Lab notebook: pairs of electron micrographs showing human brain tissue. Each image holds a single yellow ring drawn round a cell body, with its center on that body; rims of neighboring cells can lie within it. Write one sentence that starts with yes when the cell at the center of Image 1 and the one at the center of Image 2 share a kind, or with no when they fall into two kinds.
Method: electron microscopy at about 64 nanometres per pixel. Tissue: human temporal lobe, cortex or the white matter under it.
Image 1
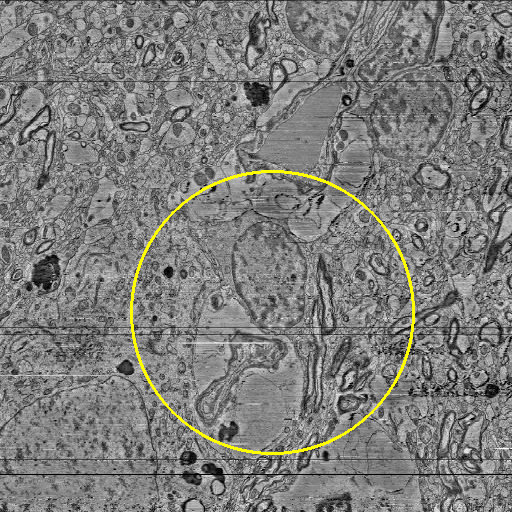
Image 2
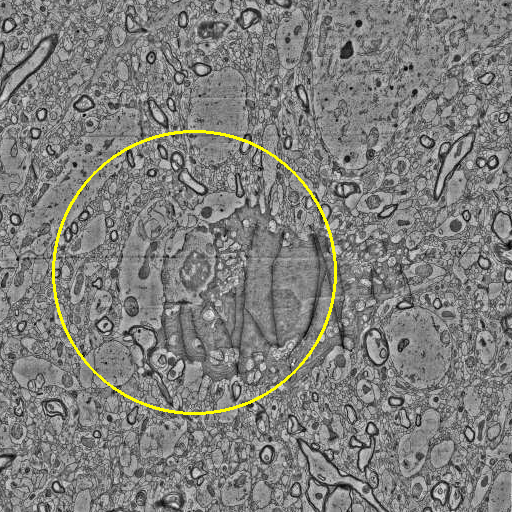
Yes, the centered cell in Image 1 and the centered cell in Image 2 are of one kind.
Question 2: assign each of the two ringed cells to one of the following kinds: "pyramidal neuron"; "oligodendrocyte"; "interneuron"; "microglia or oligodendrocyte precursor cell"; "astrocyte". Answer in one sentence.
Both rings mark an oligodendrocyte, one in each picture.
